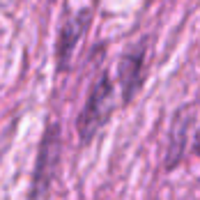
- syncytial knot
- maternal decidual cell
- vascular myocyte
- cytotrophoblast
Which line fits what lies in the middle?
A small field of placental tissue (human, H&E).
vascular myocyte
